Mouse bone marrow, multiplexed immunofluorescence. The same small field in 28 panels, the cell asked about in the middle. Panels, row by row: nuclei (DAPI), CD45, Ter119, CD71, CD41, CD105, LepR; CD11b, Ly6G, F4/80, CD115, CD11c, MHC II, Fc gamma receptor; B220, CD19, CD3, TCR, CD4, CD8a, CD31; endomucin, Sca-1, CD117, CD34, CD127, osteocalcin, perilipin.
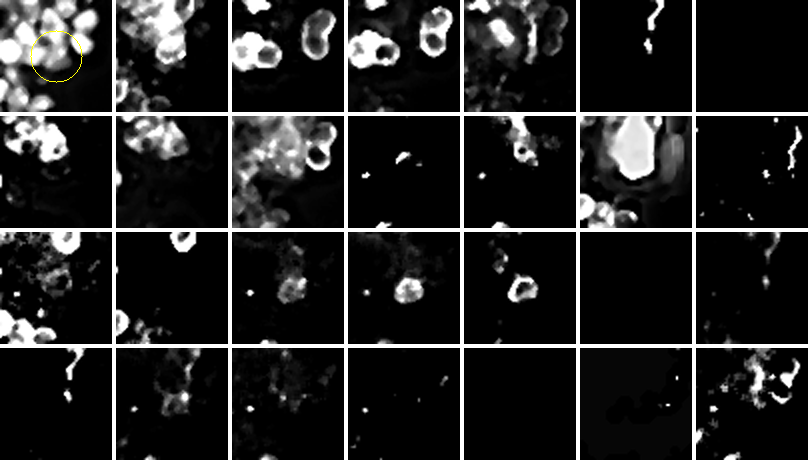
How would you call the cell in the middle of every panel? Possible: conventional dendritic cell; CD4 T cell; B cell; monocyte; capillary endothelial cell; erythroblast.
I would call it a CD4 T cell.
